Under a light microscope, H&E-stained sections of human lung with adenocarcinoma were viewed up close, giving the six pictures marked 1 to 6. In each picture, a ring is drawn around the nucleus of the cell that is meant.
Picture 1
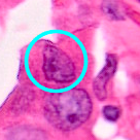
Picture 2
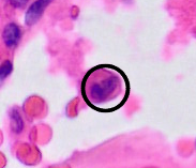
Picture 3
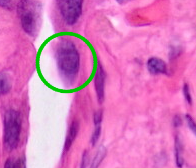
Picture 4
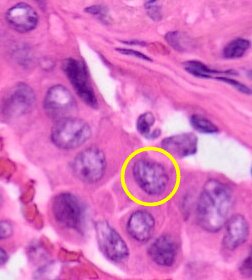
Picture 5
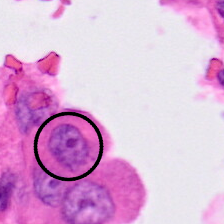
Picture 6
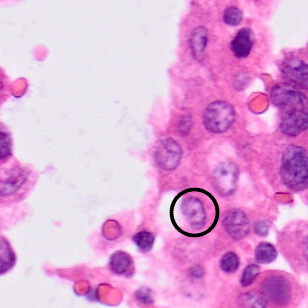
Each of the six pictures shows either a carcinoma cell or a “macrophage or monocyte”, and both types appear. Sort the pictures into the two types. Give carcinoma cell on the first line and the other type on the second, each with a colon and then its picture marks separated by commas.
carcinoma cell: 1, 3, 4, 5
macrophage or monocyte: 2, 6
